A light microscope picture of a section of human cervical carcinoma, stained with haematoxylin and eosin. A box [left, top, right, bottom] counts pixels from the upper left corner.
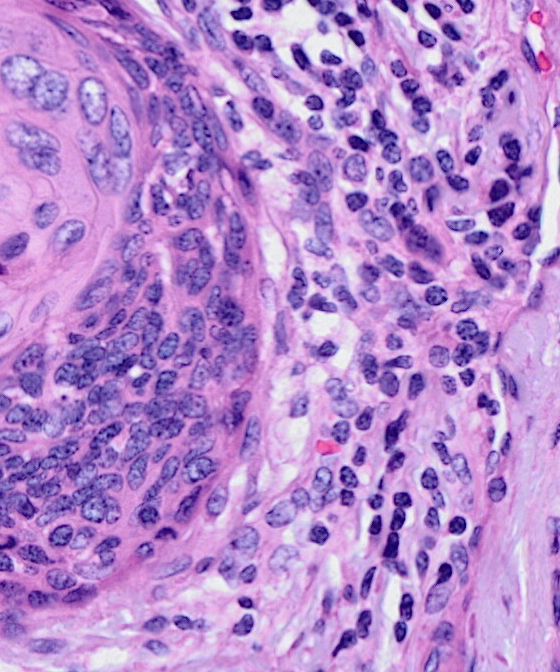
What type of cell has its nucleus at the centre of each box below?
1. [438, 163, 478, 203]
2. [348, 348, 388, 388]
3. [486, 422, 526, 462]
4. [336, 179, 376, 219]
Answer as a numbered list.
1. lymphocyte
2. lymphocyte
3. endothelial cell
4. lymphocyte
